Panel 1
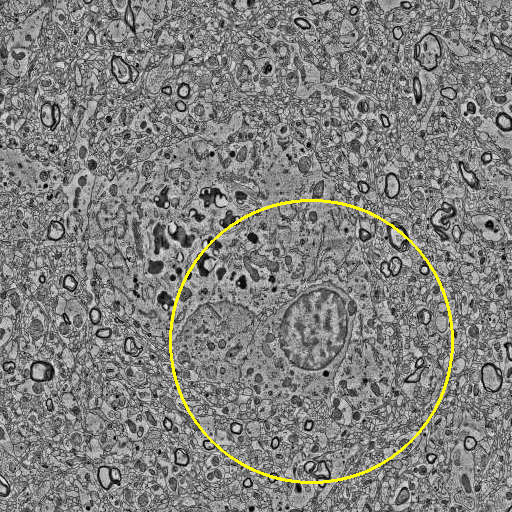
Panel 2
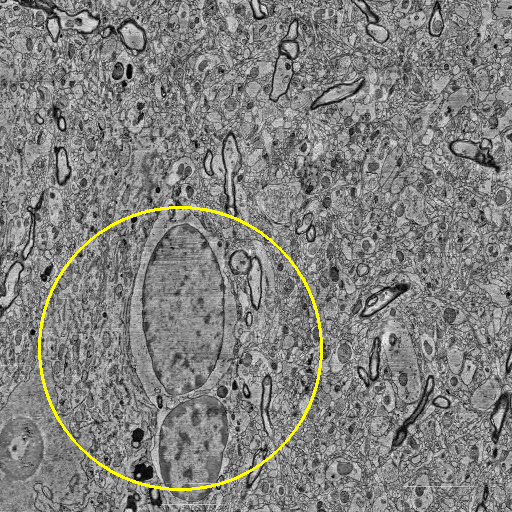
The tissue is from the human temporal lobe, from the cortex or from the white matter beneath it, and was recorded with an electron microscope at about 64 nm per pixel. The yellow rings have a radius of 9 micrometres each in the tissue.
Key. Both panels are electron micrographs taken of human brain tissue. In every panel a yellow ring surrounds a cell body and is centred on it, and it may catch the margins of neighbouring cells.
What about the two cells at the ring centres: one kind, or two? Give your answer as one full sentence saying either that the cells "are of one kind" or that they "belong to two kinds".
Across Panels 1 and 2, the two cells at the ring centres belong to two kinds.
